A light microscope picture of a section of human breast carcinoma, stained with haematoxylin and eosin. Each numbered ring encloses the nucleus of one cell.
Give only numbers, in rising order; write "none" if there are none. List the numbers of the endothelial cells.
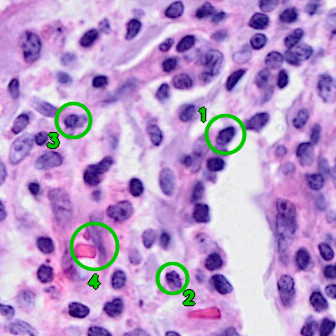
4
